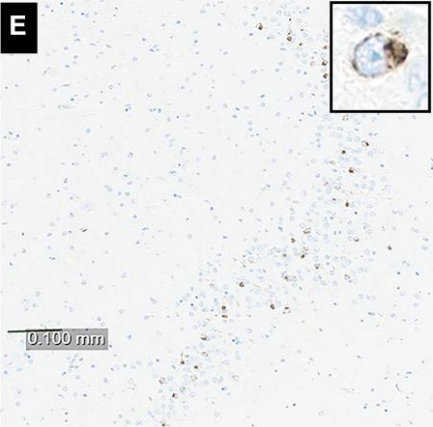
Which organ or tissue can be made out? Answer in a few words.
Dentate gyrus.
